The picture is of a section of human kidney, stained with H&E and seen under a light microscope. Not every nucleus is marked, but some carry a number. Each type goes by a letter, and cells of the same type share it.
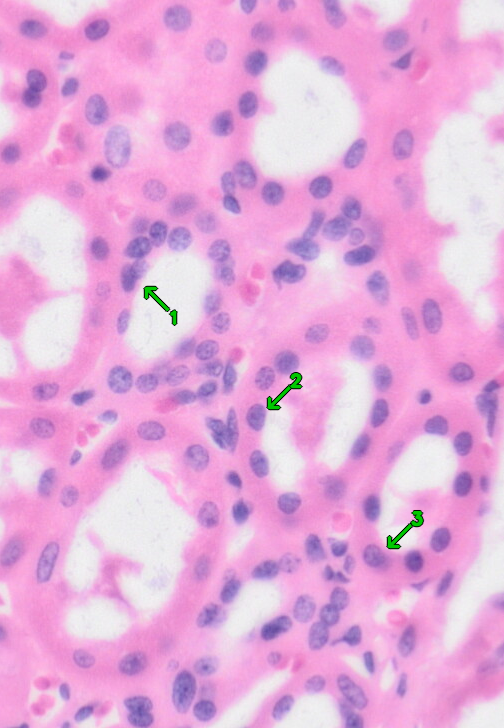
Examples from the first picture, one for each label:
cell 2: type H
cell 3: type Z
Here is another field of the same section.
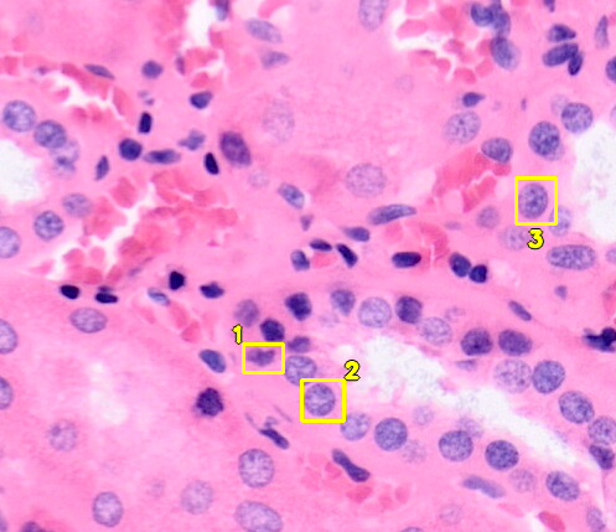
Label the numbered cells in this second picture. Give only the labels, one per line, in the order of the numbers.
type Z
type Z
type H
